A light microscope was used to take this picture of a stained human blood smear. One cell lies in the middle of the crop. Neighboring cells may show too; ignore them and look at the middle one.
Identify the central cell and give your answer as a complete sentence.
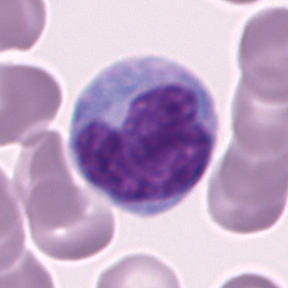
The crop centres on a single cell, and that cell is a monocyte.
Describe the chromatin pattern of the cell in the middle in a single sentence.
The key point is fine chromatin with no coarse clumps.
